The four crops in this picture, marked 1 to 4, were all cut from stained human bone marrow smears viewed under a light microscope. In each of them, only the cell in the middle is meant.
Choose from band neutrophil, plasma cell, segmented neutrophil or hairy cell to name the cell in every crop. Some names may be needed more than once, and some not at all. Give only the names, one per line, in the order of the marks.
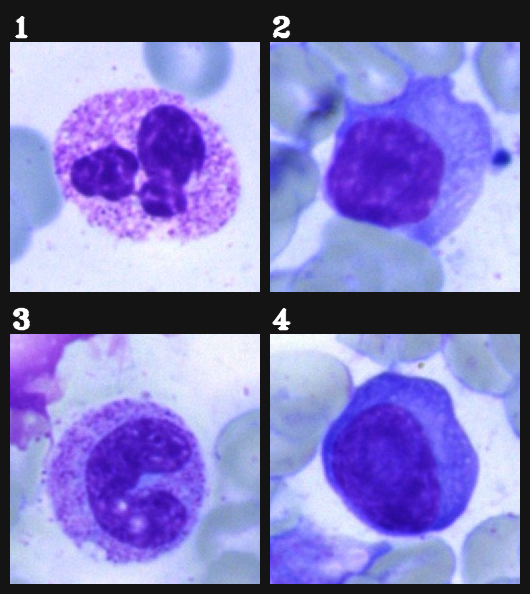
segmented neutrophil
plasma cell
band neutrophil
plasma cell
